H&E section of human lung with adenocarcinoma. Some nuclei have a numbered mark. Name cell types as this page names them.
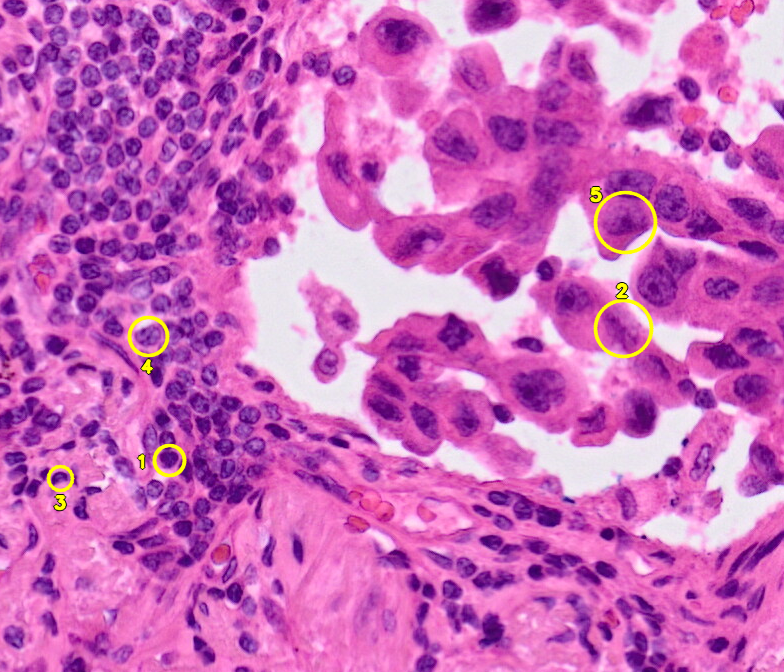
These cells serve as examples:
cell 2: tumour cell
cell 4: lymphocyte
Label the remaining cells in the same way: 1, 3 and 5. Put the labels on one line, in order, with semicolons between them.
lymphocyte; lymphocyte; tumour cell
